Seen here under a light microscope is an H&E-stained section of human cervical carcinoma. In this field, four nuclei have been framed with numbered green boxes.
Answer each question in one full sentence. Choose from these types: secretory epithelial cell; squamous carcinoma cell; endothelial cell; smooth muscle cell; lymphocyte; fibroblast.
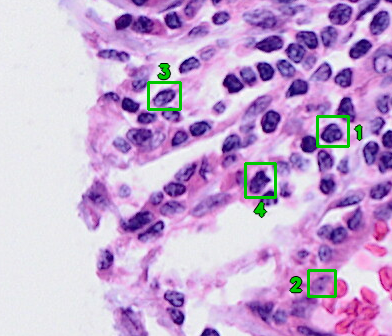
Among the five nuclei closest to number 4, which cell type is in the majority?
The majority of the five nuclei closest to number 4 belong to lymphocytes.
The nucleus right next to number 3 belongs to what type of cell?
Number 3 lies closest to the nucleus of a lymphocyte.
